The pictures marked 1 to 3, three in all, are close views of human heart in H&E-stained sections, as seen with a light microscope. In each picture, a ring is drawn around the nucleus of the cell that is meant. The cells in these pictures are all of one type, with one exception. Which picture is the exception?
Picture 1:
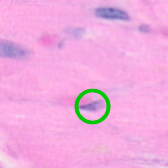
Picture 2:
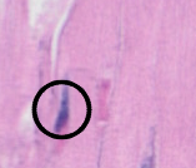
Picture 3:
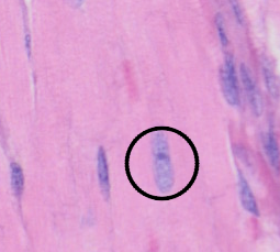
3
